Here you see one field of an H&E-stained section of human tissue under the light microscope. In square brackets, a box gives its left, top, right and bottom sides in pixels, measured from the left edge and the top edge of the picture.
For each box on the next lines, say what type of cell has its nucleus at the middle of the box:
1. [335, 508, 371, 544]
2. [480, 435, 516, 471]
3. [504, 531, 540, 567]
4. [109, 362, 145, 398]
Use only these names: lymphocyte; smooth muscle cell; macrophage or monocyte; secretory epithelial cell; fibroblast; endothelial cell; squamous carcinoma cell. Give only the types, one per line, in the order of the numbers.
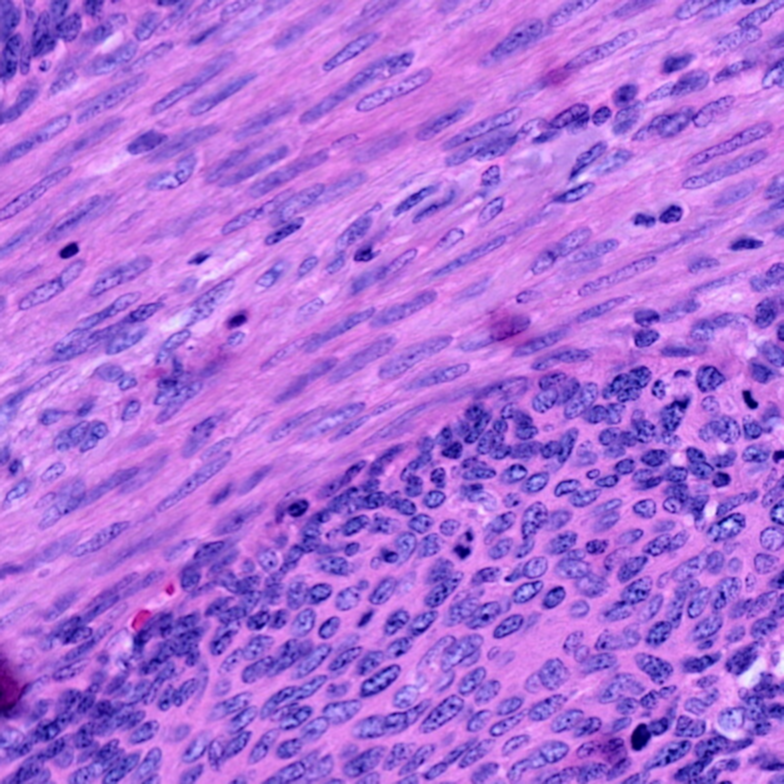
squamous carcinoma cell
squamous carcinoma cell
squamous carcinoma cell
smooth muscle cell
